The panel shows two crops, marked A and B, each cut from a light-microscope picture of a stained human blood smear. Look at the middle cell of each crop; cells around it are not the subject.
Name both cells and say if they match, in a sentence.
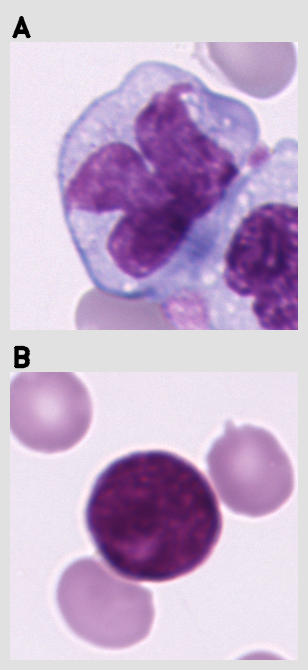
No, the cells are a monocyte in crop A and a myeloblast in crop B.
